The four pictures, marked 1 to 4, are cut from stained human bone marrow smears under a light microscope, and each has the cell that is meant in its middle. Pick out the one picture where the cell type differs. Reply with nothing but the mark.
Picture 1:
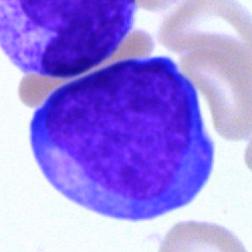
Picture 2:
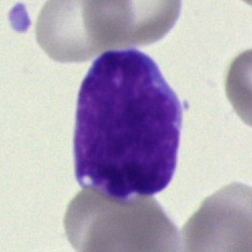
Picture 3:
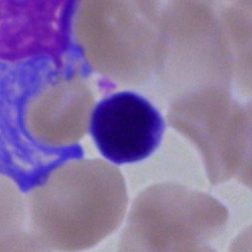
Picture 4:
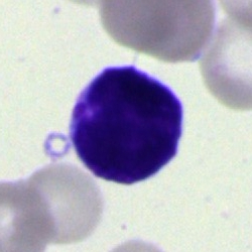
3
